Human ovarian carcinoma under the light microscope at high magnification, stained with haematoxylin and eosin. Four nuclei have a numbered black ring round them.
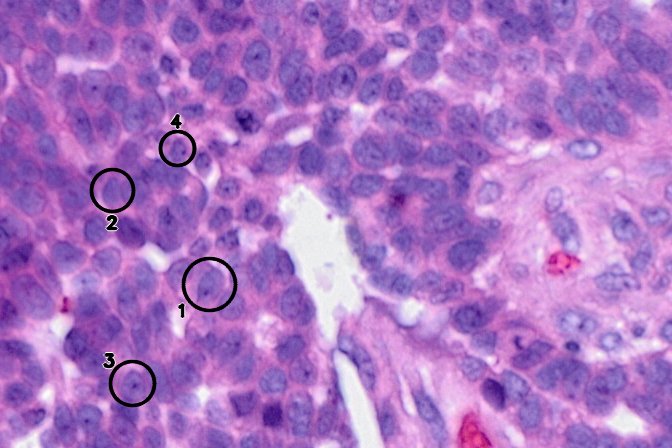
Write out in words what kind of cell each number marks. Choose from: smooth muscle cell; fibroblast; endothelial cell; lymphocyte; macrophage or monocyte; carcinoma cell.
Cell 1 is a carcinoma cell, cell 2 is a carcinoma cell, cell 3 is a carcinoma cell and cell 4 is a macrophage or monocyte.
